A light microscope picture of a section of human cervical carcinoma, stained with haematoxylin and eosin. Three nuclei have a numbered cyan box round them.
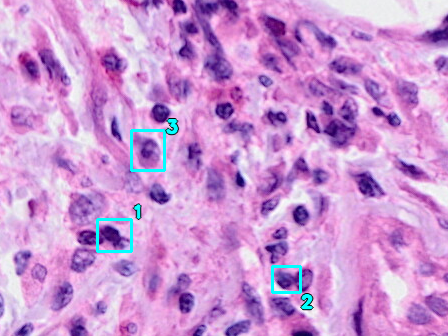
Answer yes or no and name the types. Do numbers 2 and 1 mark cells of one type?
Yes, cells 2 and 1 both count as lymphocytes.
